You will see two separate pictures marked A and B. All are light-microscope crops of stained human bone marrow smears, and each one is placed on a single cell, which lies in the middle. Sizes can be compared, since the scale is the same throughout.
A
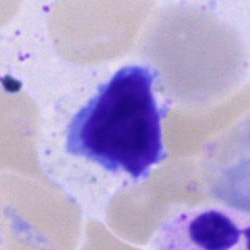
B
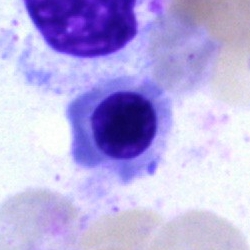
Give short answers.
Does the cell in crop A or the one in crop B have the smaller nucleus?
B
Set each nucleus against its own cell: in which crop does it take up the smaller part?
B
